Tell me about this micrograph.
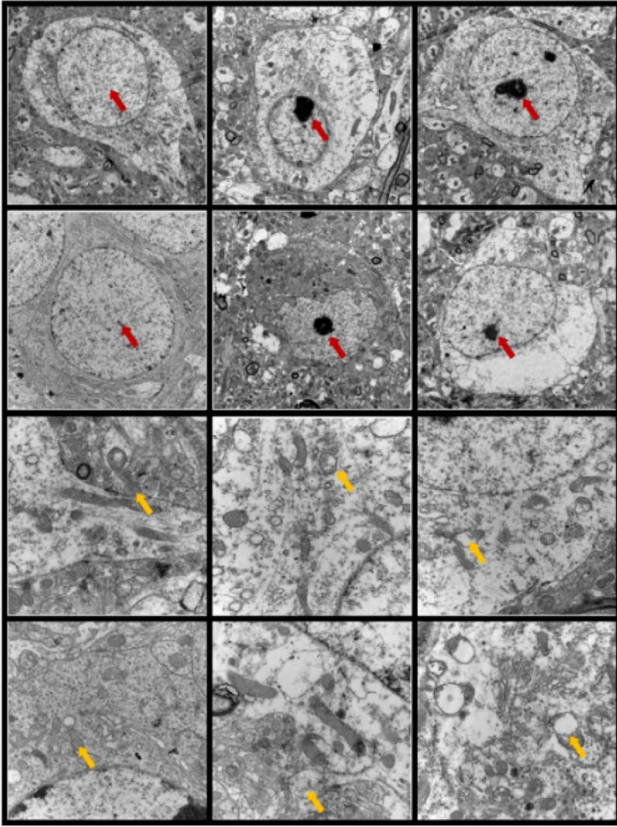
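A grid of transmission electron micrographs of brain tissue shows neuronal cell bodies at lower magnification in the upper rows and cytoplasm with mitochondria at higher magnification in the lower rows. In the upper rows each cell has a large round nucleus with finely granular chromatin, in several cells holding a dense black clump, surrounded by a rim of cytoplasm and neighbouring processes, some with dark myelin rings. In the lower rows small oval and elongated mitochondria lie among vesicles and membranes, some dense and intact, others pale, rounded and swollen with disordered interiors.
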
